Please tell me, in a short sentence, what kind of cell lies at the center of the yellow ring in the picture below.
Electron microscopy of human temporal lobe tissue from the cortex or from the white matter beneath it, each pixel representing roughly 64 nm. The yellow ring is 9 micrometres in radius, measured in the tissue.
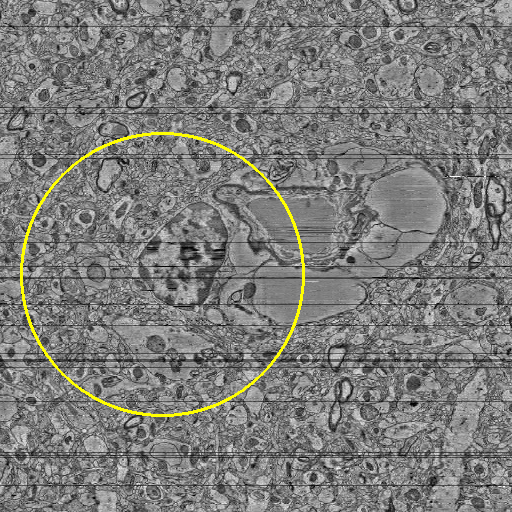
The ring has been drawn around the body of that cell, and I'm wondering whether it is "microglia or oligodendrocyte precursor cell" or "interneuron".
The cell at the center of the ring is a microglial cell or oligodendrocyte precursor cell.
